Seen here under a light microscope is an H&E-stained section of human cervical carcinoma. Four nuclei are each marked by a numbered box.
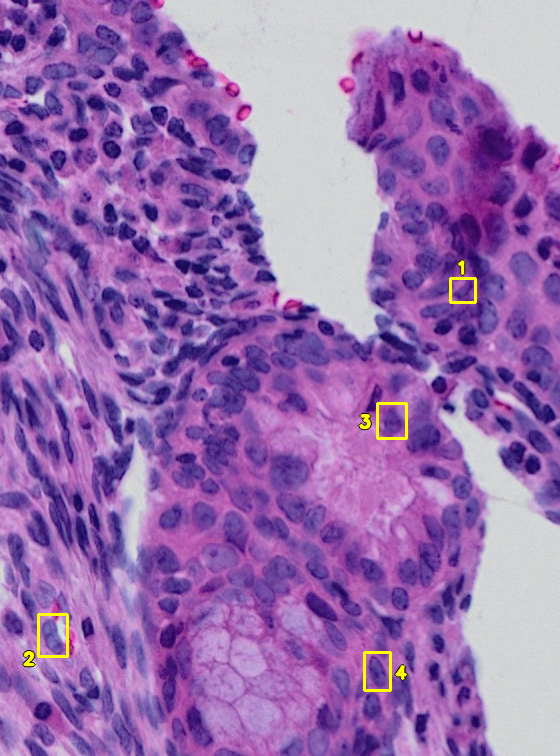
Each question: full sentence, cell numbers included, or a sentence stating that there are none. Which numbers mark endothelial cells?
A single numbered cell, cell 2, is an endothelial cell.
